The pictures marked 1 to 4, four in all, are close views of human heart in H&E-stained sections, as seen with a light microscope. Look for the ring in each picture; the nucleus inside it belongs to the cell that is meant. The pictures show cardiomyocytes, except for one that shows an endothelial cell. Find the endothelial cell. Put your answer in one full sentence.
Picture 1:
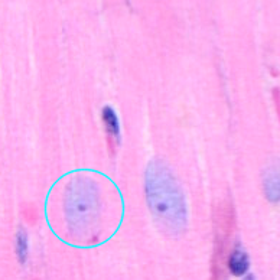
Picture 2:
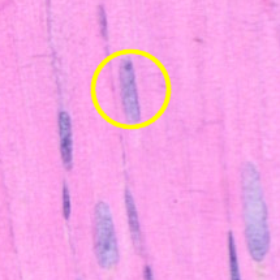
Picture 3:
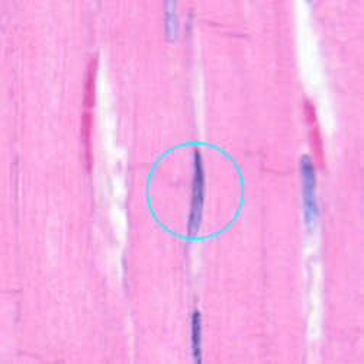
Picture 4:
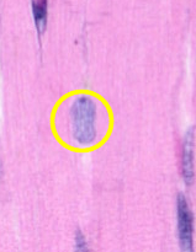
The cell in picture 3 is the endothelial cell.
